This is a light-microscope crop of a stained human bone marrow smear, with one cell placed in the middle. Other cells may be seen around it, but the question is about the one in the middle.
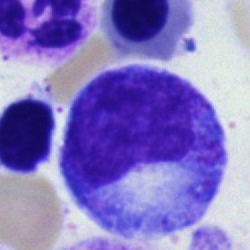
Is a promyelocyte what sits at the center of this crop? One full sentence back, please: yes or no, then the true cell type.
Yes, the cell here in the middle is a promyelocyte.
